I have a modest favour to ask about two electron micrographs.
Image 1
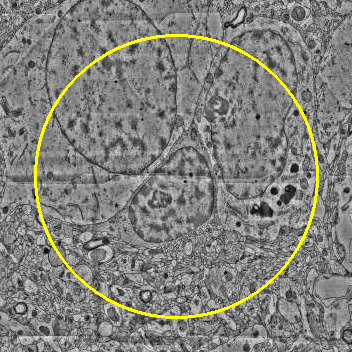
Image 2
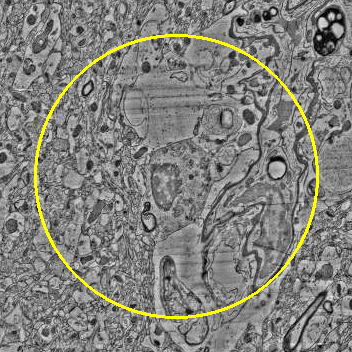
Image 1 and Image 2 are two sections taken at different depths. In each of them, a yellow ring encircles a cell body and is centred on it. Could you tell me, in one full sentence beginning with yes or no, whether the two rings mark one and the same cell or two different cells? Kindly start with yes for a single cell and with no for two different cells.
No, within the two rings lie two different cells.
